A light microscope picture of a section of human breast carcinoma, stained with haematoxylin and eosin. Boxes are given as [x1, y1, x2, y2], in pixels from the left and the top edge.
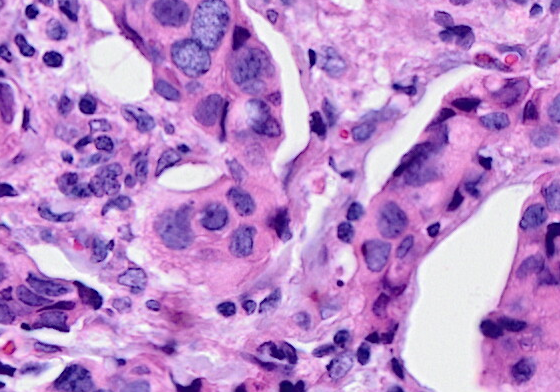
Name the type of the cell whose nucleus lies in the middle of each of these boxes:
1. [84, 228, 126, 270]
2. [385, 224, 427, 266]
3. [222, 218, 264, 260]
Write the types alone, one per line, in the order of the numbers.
endothelial cell
carcinoma cell
carcinoma cell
